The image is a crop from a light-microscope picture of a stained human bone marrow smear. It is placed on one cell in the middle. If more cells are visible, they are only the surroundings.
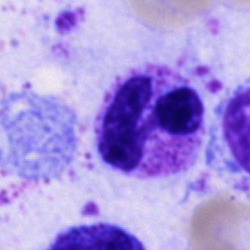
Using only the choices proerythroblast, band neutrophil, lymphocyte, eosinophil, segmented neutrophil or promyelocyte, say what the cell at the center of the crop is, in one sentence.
The central cell in this smear crop is a segmented neutrophil.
